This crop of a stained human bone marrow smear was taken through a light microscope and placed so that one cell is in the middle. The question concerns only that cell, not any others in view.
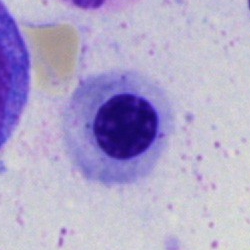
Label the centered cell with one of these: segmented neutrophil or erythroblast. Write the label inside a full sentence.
This crop has an erythroblast at its centre.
